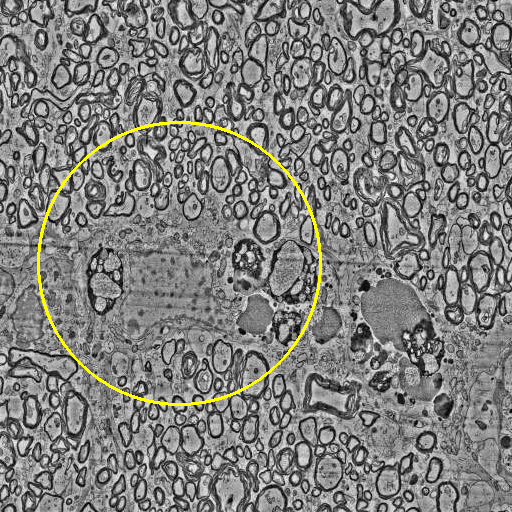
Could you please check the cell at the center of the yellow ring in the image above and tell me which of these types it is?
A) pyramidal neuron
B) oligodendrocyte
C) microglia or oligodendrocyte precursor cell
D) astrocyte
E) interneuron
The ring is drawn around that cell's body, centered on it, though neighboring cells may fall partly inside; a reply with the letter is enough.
D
